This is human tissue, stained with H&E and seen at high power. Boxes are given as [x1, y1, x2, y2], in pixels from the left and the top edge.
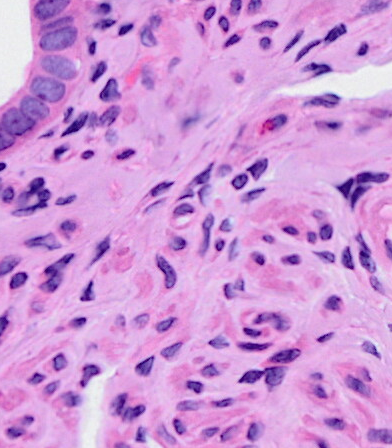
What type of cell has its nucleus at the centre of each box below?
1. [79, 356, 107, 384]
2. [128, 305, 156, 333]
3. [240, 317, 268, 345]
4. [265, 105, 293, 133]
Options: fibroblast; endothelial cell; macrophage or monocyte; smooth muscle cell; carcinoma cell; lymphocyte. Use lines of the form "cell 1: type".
cell 1: smooth muscle cell
cell 2: smooth muscle cell
cell 3: smooth muscle cell
cell 4: endothelial cell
